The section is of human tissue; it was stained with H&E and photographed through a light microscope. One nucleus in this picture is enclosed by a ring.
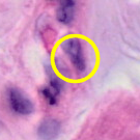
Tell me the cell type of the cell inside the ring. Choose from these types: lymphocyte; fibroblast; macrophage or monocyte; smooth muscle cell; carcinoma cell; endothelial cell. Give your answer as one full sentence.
In this tissue sample, the cell inside the ring is an endothelial cell.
